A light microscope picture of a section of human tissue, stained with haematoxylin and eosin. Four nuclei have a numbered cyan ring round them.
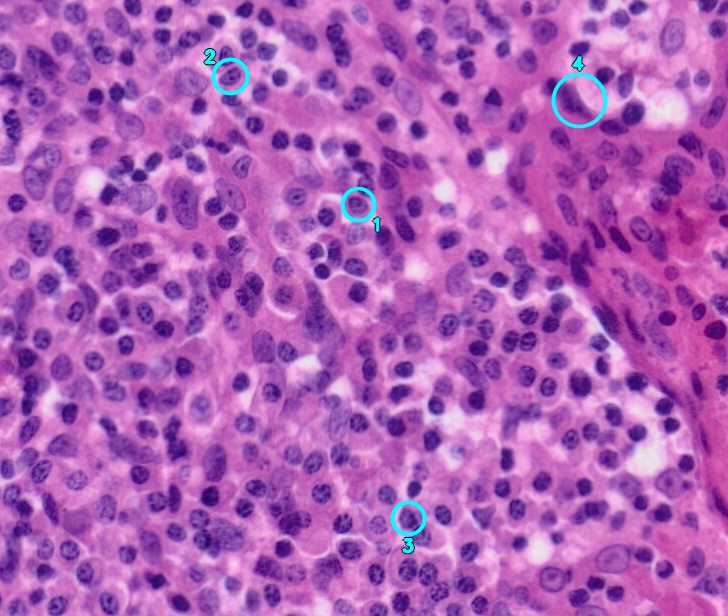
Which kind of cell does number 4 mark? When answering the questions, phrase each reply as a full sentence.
The cell pointed out by number 4 is a squamous epithelial cell.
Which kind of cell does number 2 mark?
Cell 2 is classified as a plasma cell.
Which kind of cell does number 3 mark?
The cell referred to as 3 is a plasma cell.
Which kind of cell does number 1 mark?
The cell identified by number 1 is a plasma cell.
